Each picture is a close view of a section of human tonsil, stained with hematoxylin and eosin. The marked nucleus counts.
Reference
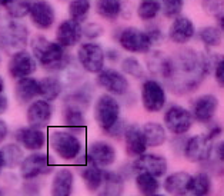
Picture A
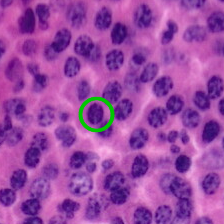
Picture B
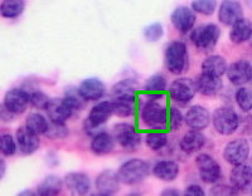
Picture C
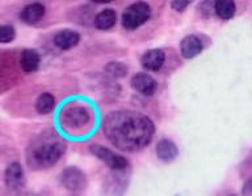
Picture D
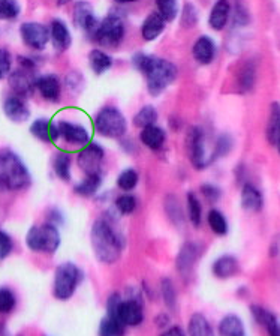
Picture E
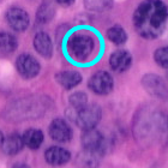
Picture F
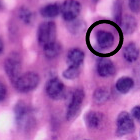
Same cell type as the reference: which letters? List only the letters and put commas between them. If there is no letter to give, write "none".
B, D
